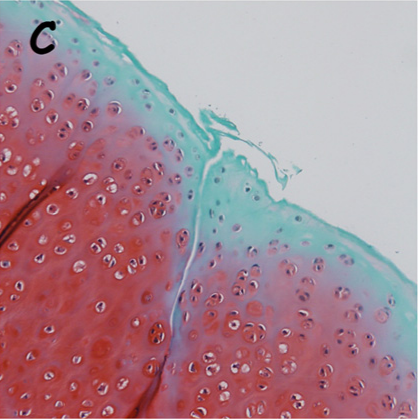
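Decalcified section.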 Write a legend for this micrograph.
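This section shows articular cartilage, with its matrix stained deep red and chondrocytes lying in clear lacunae throughout. The cells are rounded, many sitting singly and some in pairs or small groups, with small dark nuclei inside pale spaces. Toward the surface the red fades into a blue-green layer where the cells are smaller and flatter. A narrow vertical cleft runs from the surface down into the cartilage. At the surface, a thin loose flap of tissue lifts away from the edge.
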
